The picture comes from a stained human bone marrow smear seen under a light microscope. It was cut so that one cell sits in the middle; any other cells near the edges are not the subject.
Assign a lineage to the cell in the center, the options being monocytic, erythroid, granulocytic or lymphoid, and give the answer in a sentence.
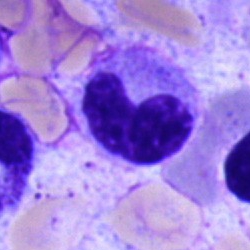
With respect to lineage, the central cell is to be called granulocytic.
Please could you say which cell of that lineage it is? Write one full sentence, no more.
Centred in the crop is a band neutrophil.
